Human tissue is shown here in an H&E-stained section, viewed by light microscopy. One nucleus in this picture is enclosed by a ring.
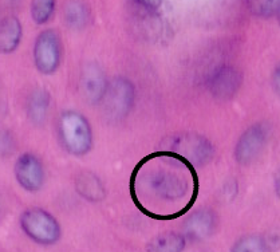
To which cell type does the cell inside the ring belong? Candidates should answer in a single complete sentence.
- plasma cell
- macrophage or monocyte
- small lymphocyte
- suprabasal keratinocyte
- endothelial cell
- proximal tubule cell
It is as a suprabasal keratinocyte that the cell inside the ring is classified.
